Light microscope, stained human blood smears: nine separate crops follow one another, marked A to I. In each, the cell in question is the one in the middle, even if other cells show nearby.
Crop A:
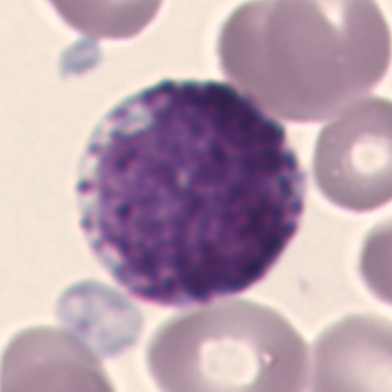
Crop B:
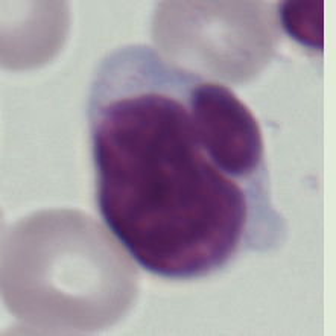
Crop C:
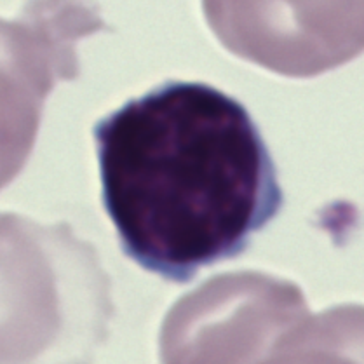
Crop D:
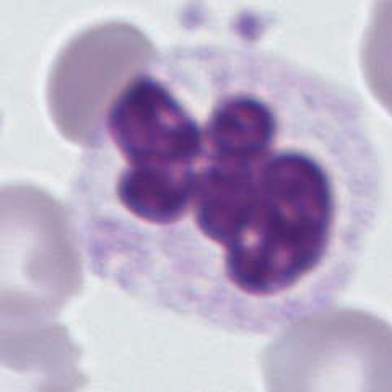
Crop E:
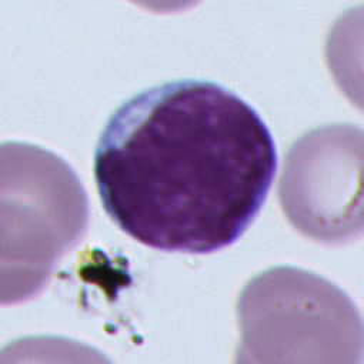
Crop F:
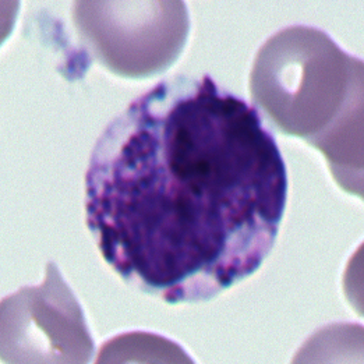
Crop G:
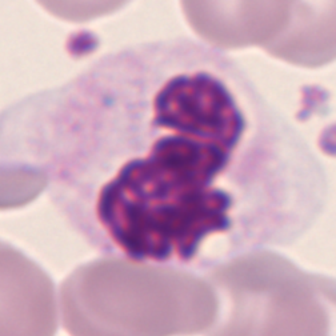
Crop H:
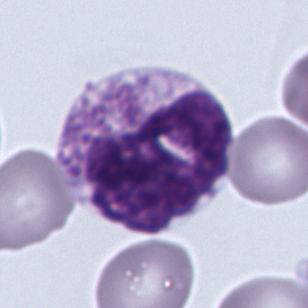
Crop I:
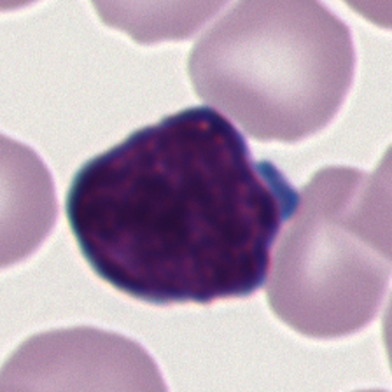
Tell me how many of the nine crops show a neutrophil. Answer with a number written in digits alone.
2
